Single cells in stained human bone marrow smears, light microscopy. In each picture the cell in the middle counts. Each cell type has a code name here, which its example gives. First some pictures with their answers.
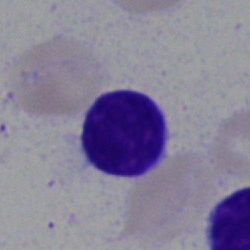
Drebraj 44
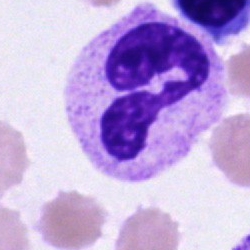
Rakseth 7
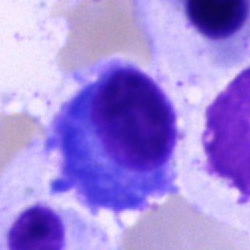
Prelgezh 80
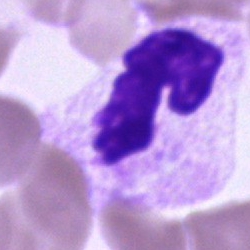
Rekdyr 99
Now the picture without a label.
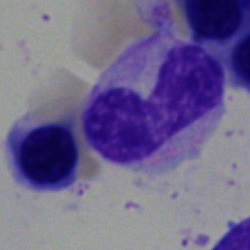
Rekdyr 99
